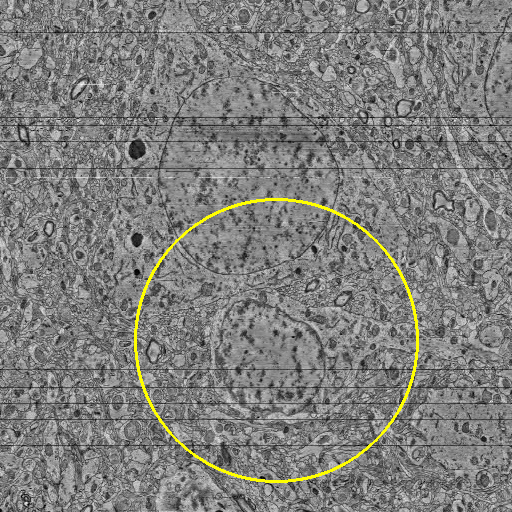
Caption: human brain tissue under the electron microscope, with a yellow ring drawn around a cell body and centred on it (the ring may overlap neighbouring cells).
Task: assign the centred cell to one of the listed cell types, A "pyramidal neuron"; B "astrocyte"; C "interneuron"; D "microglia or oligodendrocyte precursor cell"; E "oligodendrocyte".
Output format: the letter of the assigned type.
C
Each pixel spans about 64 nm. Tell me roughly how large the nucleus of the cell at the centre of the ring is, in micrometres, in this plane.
In this plane, roughly 8 by 7 micrometres.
